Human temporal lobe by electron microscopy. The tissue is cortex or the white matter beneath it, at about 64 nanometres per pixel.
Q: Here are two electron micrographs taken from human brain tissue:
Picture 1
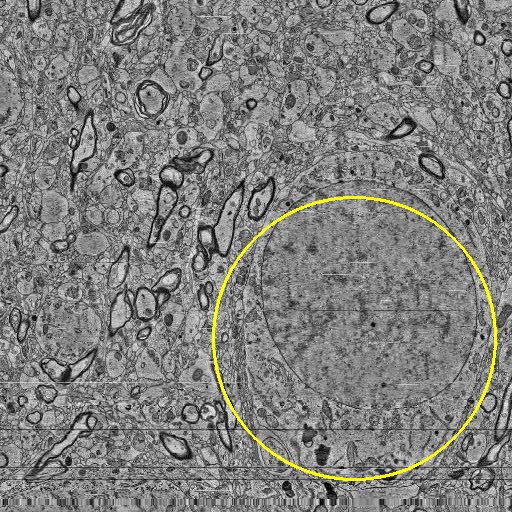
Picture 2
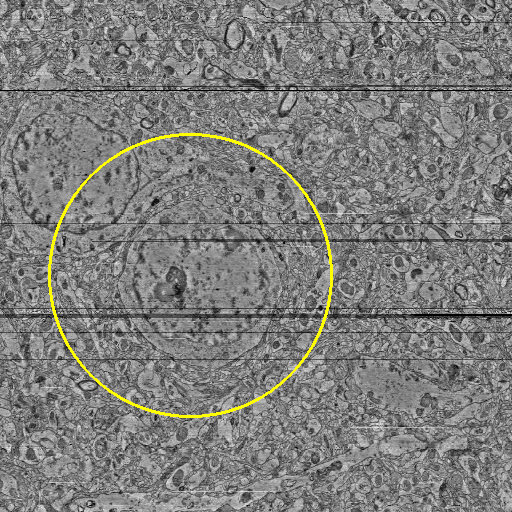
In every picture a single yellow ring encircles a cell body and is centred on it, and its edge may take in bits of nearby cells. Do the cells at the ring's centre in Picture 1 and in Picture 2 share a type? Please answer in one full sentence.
No, the cells at the ring's centre in Picture 1 and Picture 2 are of two types.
